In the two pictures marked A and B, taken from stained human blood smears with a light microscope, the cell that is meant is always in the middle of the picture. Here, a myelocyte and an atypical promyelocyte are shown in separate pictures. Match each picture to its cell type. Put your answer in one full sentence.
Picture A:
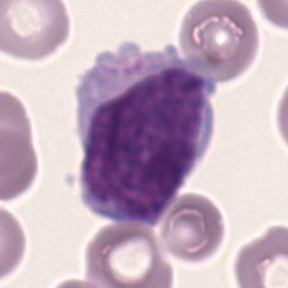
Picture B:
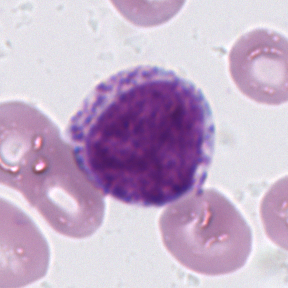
The cell in picture A is an atypical promyelocyte, and the one in picture B is a myelocyte.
